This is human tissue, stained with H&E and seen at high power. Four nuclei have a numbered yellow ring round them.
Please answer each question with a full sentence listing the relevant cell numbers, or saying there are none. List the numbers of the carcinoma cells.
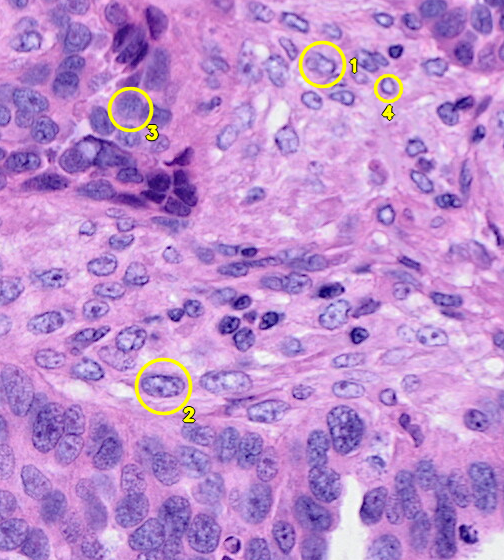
The sole numbered cell that is a carcinoma cell is cell 3.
